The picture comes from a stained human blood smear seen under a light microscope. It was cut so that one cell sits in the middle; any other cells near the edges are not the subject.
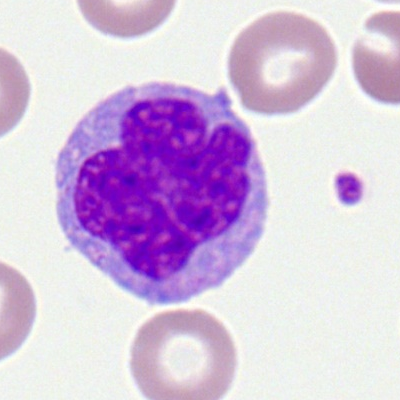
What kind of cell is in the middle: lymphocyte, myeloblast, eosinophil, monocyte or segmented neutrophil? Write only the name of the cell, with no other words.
monocyte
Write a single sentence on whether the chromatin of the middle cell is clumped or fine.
In this cell the chromatin is fine rather than coarsely clumped.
